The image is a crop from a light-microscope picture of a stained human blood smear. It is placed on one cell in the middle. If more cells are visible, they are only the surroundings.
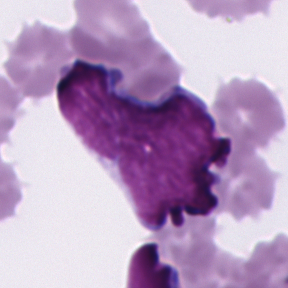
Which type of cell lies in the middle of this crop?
myeloblast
